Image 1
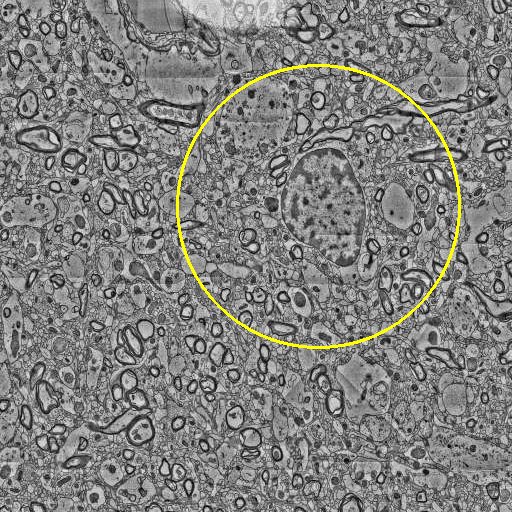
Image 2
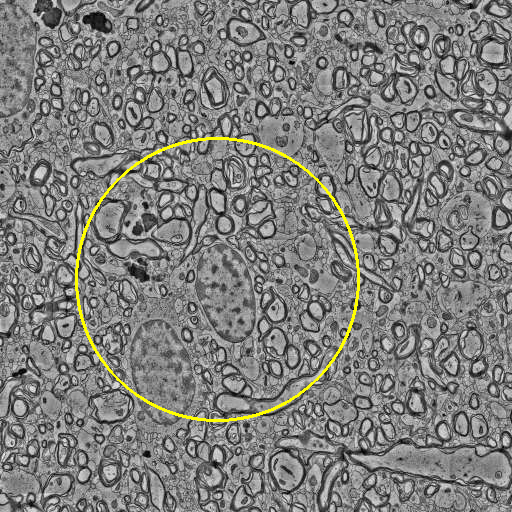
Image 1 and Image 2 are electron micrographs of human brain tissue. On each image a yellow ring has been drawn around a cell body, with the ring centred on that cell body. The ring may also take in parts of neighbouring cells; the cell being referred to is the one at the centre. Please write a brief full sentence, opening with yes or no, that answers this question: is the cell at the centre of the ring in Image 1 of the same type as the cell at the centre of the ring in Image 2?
Yes, both cells are of the same type.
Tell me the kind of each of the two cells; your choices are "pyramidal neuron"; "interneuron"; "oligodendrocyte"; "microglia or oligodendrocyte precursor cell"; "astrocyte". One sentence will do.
In each of the two pictures, the ringed cell is a microglial cell or oligodendrocyte precursor cell.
